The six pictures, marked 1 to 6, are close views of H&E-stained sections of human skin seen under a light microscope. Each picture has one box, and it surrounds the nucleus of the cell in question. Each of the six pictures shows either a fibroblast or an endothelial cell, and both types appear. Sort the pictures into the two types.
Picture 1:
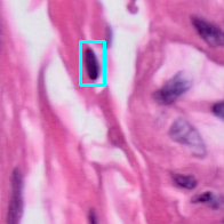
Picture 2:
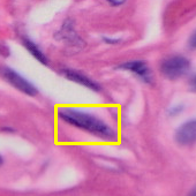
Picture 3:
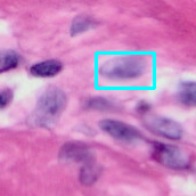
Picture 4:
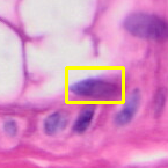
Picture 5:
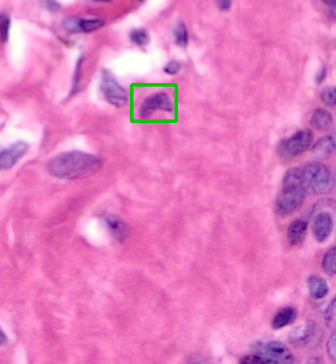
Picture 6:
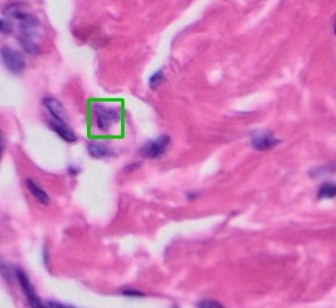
1: fibroblast
2: endothelial cell
3: fibroblast
4: endothelial cell
5: fibroblast
6: endothelial cell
